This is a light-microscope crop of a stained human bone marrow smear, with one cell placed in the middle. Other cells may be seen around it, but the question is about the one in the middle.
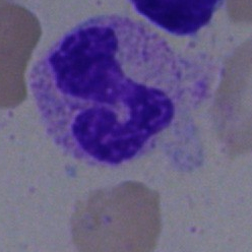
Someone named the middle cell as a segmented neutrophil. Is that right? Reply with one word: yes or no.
yes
